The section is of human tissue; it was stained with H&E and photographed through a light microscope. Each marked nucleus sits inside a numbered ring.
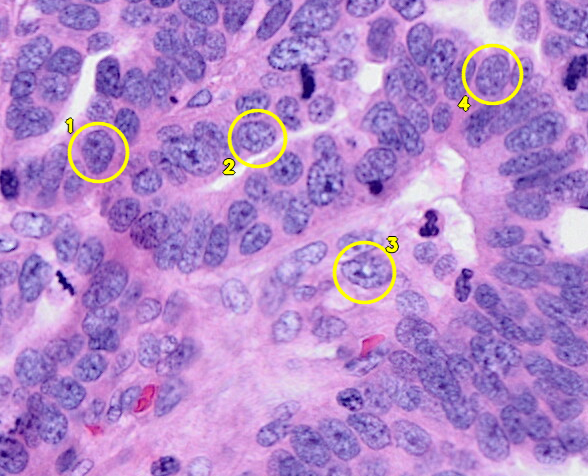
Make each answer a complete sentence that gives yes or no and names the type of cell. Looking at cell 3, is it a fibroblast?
Yes, it is a fibroblast that number 3 identifies.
